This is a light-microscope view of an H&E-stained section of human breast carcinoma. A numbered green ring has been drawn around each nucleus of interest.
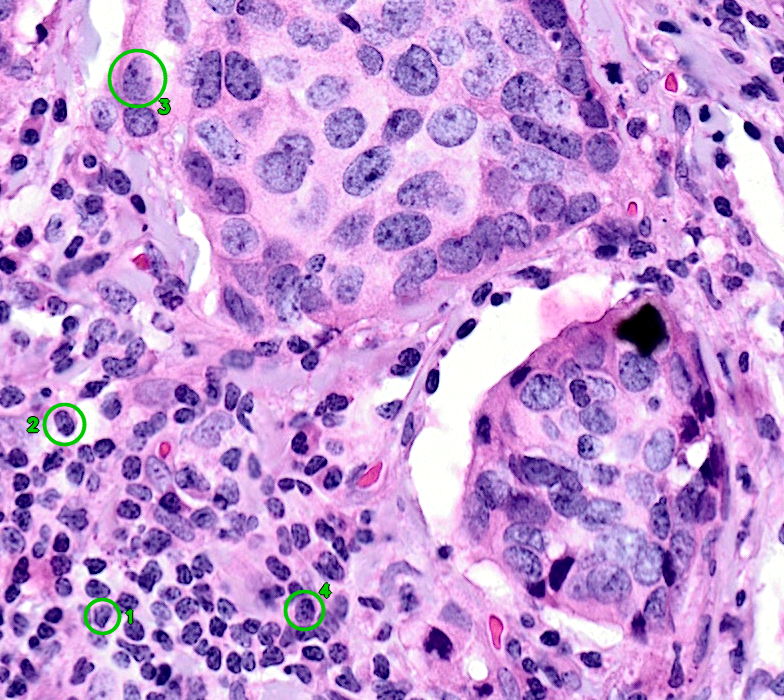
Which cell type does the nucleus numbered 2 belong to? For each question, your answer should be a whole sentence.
The cell pointed out as number 2 is a lymphocyte.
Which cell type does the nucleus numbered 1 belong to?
The cell indicated by marker 1 is a lymphocyte in this section.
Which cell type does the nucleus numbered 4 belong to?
The marked nucleus 4 is that of a lymphocyte.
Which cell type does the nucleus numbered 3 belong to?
The cell carrying label 3 is identified as a carcinoma cell.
